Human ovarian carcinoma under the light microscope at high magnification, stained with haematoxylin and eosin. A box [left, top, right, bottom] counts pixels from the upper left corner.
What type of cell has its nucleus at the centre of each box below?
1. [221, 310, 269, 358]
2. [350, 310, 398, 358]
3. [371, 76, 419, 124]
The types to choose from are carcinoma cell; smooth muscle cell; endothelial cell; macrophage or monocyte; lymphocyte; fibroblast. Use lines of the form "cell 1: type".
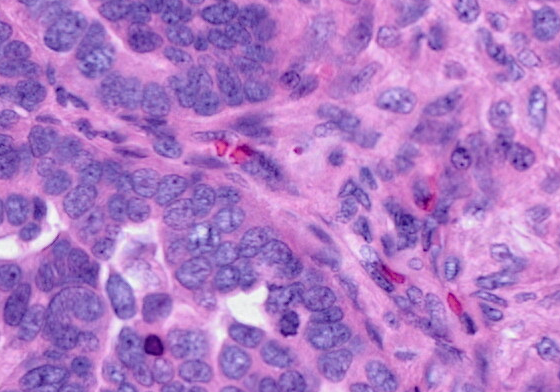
cell 1: carcinoma cell
cell 2: fibroblast
cell 3: fibroblast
